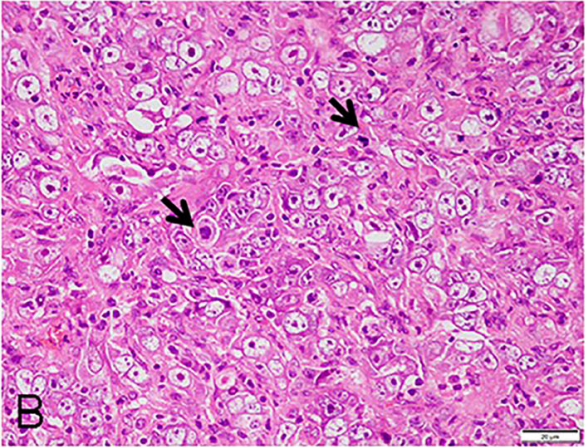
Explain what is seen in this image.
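Large polygonal tumor cells lie in sheets, with pink cytoplasm and big oval nuclei, many of which are pale with coarse chromatin and a distinct dark central nucleolus. Some cells show clear spaces in the cytoplasm, and thin pink strands with small dark elongated nuclei run between the groups. A few nuclei are compact and densely dark, unlike their neighbours, as in dividing cells. These are atypical epithelioid tumor cells with prominent nucleoli and mitotic figures.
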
